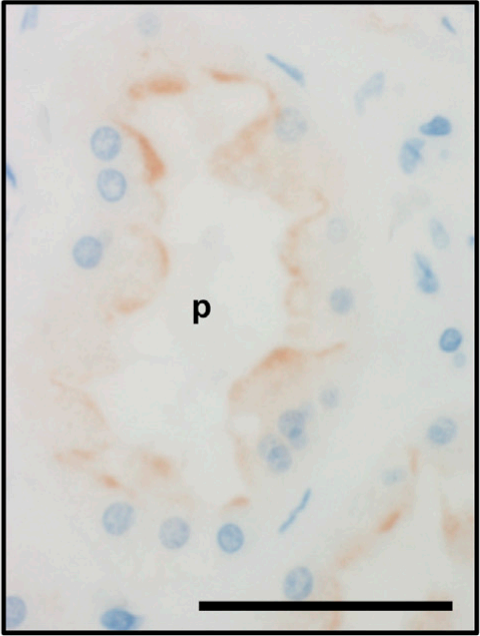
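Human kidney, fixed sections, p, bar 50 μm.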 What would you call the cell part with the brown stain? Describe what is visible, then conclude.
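The brown stain forms a thin band along the inner border of the tubule epithelium facing the lumen. The basal parts of the cells and the blue nuclei are unstained. The answer: luminal membranes.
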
